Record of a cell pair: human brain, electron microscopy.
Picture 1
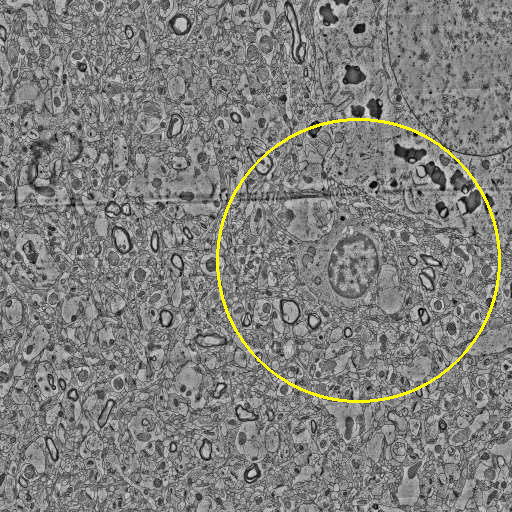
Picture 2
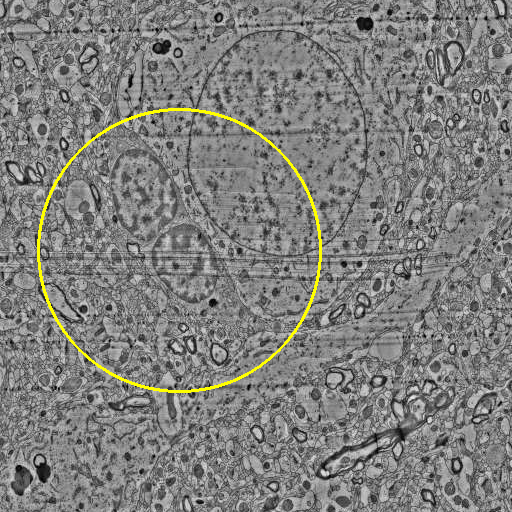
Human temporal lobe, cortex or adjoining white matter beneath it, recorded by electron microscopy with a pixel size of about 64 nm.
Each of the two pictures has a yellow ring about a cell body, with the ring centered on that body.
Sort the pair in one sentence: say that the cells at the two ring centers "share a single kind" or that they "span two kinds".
The cells centered in the rings of Pictures 1 and 2 share a single kind.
